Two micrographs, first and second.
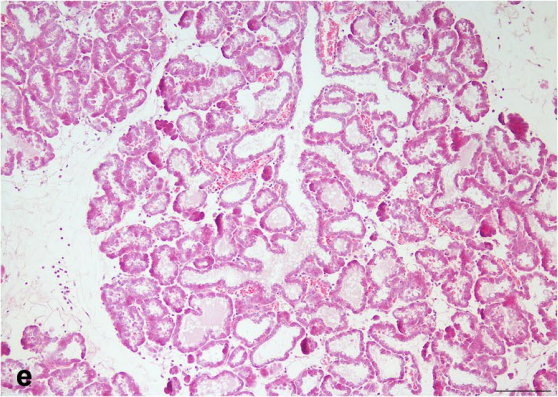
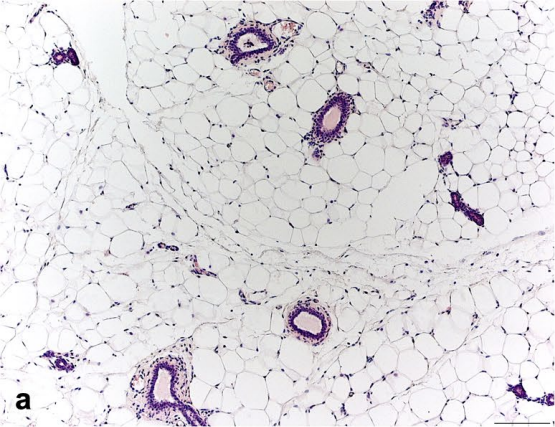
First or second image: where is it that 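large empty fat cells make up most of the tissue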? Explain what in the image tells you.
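The second image. First image: the field is filled with glandular spaces, with hardly any fat cells. Second image: large clear fat cells fill most of the field around sparse ducts.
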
